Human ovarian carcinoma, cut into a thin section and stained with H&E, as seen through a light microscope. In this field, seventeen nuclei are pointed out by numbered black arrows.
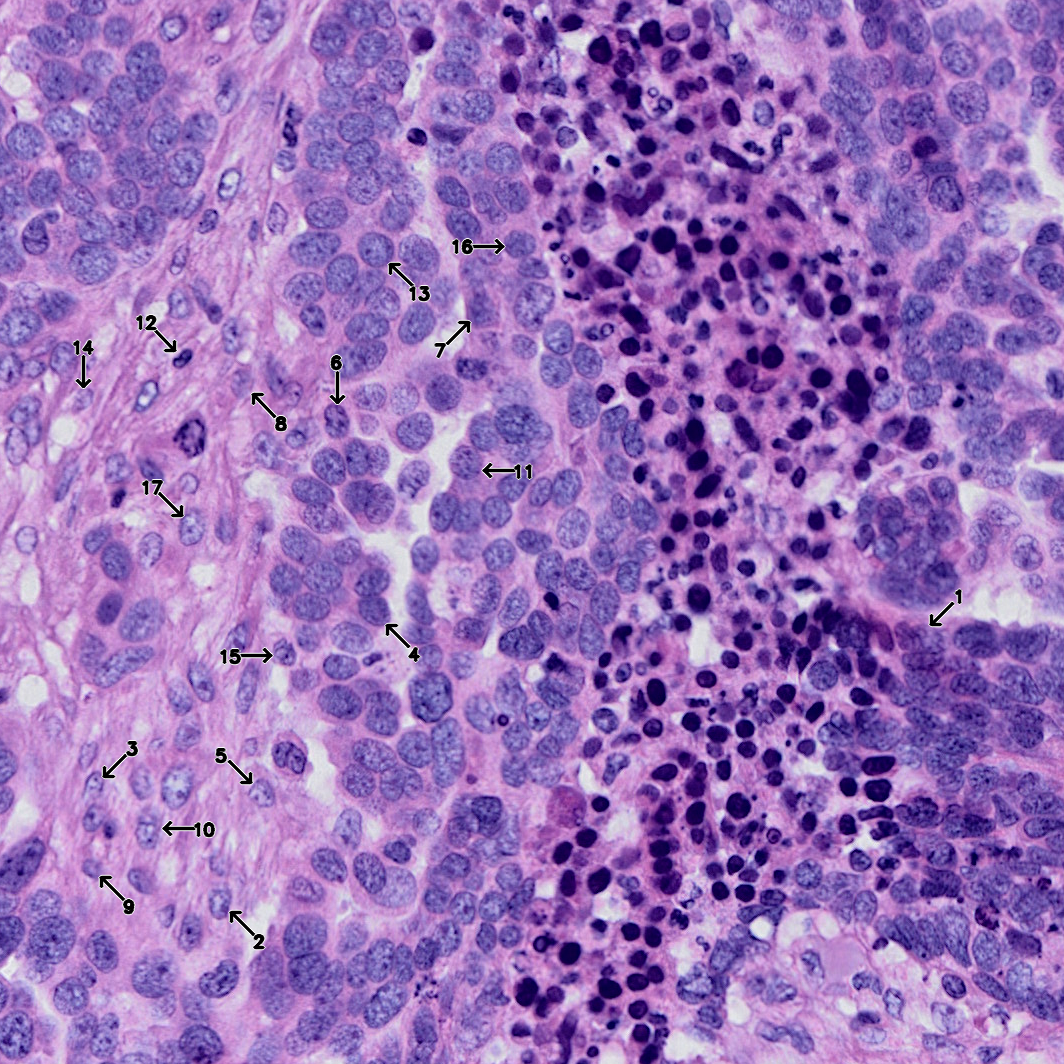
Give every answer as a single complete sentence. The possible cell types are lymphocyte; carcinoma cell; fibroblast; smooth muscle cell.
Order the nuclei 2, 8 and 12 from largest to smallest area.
The nuclei rank 2, 8, 12, from largest to smallest.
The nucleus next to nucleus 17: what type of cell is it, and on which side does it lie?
Just to the right of nucleus 17 lies the nearest nucleus, which belongs to a fibroblast.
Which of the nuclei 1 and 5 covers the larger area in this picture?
It is nucleus 1, which covers about 1.5 times the area of nucleus 5.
